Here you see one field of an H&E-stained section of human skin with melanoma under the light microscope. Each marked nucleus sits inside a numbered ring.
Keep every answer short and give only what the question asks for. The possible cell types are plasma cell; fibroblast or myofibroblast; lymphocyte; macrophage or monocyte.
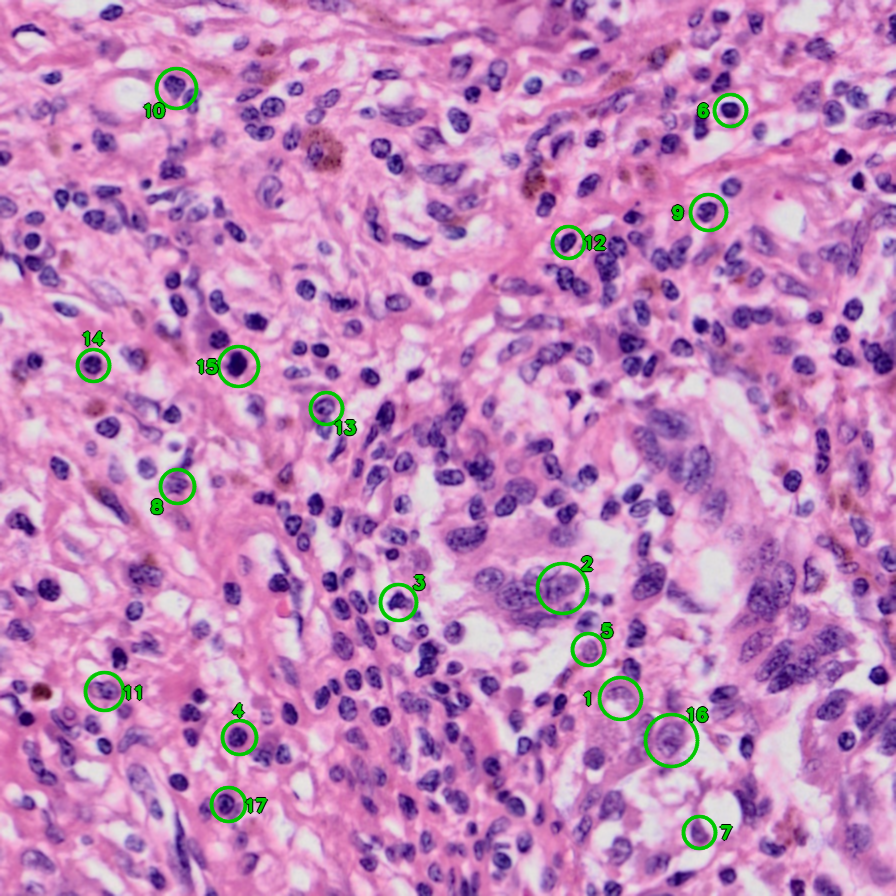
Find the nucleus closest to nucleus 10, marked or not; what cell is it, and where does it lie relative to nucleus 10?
a lymphocyte; below and to the right of nucleus 10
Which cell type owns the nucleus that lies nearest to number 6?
plasma cell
